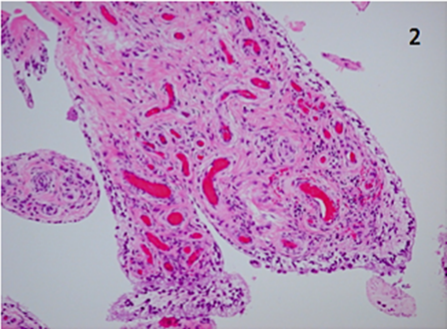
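A villous fragment of synovial tissue whose stroma is made of pink, fibrous connective tissue. Scattered through it are many blood vessels with wide, elongated and branching lumens packed with bright red erythrocytes, lined by flat nuclei. Between the vessels lie spindle-shaped and rounded purple nuclei. The surface of the fragment is edged by a row of lining cells with dark nuclei. Smaller fragments of similar fibrous tissue lie beside it. The picture is one of synovium with diffuse fibrosis of the stroma and many dilated vessels.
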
